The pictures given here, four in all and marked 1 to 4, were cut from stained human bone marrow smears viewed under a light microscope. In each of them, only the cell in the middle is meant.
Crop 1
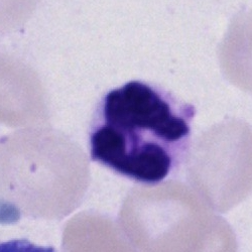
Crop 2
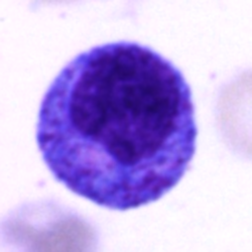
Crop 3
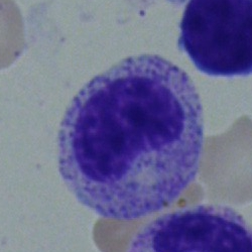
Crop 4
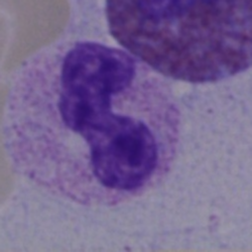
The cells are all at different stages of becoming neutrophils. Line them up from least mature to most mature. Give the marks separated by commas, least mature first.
2, 3, 4, 1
